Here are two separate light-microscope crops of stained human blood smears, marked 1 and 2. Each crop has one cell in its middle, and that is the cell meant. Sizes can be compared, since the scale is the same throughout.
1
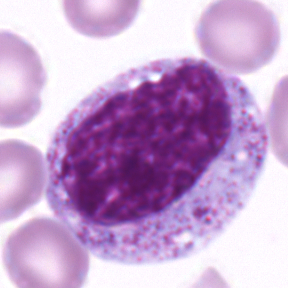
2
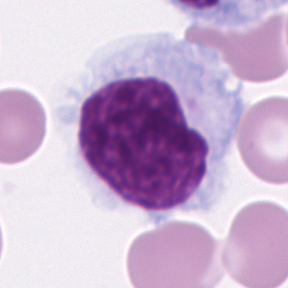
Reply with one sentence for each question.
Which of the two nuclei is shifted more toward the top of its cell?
Seen within its cell, the nucleus in crop 1 lies further toward the top.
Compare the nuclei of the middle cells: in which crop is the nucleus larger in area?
The nucleus in crop 1 is larger, with about 1.5 times the area of the one in crop 2.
